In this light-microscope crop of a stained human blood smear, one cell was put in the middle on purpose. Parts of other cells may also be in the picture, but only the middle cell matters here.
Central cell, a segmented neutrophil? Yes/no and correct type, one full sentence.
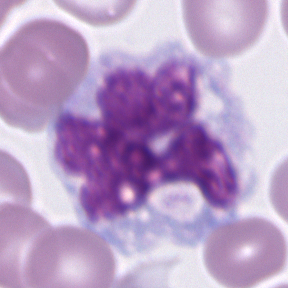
No, the centred cell is a monocyte instead of a segmented neutrophil.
